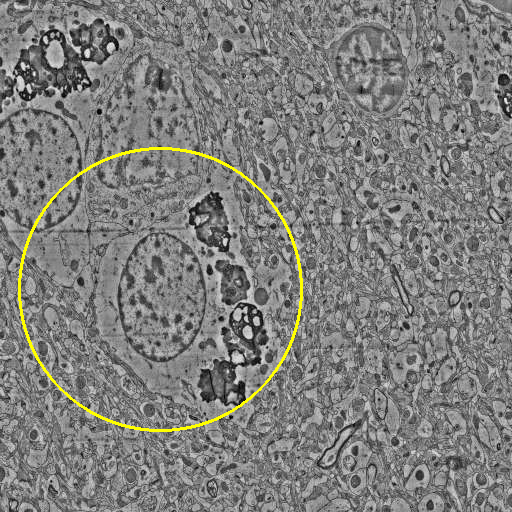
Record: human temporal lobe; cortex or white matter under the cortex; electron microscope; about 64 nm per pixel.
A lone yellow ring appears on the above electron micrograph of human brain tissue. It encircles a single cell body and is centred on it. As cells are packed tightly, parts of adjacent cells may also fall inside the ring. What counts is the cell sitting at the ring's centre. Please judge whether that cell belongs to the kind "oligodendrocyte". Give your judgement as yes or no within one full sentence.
No, the cell lying at the centre of the ring in the picture belongs to another kind.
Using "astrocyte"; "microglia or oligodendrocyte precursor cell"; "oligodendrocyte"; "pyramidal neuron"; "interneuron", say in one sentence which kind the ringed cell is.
The ringed cell in this picture is, instead, an astrocyte.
